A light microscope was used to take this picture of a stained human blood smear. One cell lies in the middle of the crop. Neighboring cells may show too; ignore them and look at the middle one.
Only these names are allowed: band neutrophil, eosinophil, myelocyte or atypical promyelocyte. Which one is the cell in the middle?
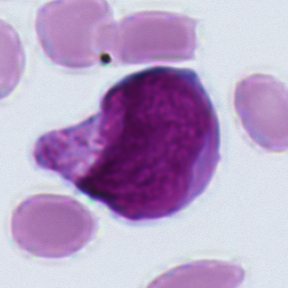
atypical promyelocyte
